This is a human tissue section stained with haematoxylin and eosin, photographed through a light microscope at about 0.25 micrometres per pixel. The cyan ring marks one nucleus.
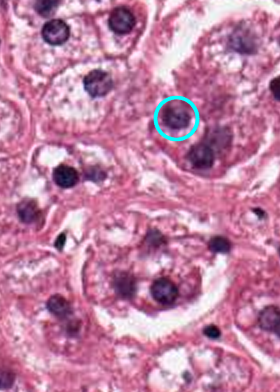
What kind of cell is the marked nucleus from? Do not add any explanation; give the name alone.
adrenal cortical cell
